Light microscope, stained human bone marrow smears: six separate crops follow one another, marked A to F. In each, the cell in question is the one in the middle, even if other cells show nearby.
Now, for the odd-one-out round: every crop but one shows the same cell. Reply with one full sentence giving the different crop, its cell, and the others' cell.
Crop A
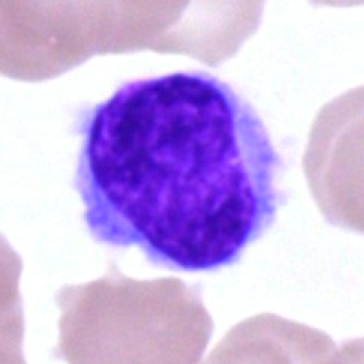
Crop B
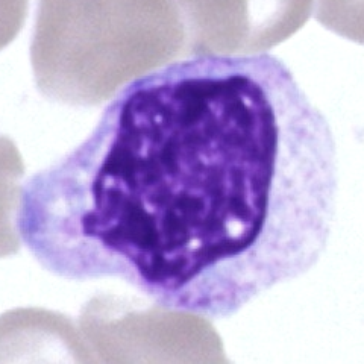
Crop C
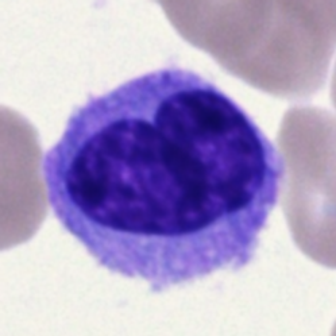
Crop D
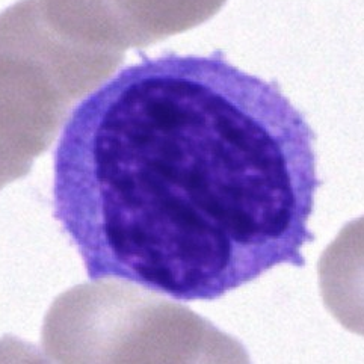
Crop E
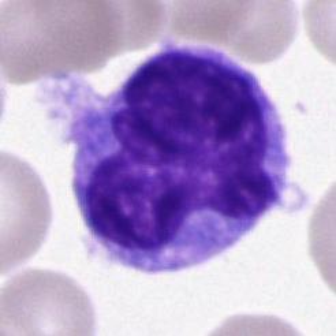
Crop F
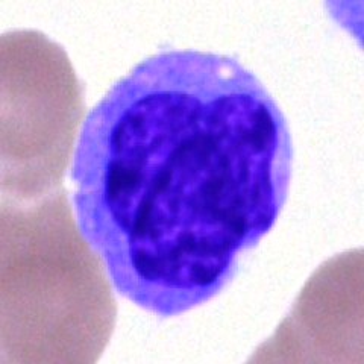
In contrast to the other crops, all of which show monocytes, crop A shows a hairy cell.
